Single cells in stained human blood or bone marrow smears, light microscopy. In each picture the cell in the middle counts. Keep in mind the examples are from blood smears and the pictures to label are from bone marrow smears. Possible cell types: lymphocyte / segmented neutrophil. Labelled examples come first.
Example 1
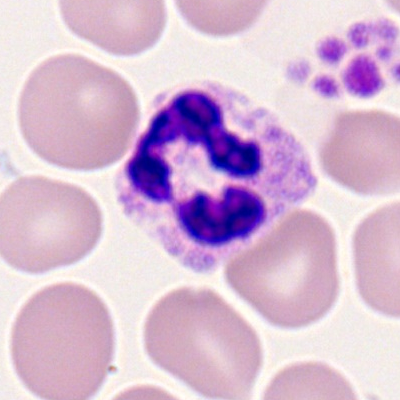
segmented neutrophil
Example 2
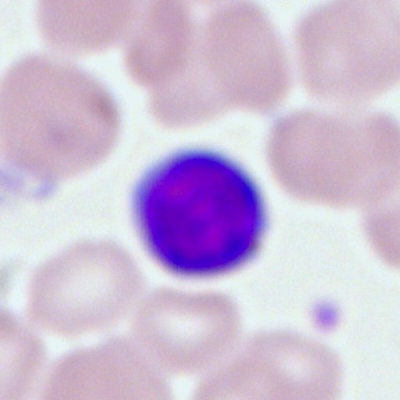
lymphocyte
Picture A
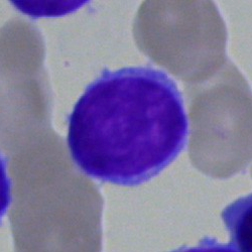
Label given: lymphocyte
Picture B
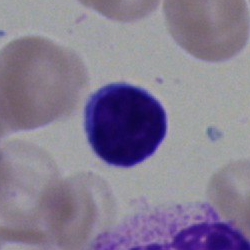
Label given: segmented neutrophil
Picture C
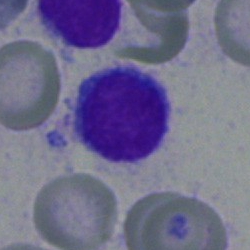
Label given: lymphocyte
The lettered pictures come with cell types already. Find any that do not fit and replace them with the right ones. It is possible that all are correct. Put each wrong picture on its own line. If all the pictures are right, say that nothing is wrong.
Wrong: B (segmented neutrophil); correct: lymphocyte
